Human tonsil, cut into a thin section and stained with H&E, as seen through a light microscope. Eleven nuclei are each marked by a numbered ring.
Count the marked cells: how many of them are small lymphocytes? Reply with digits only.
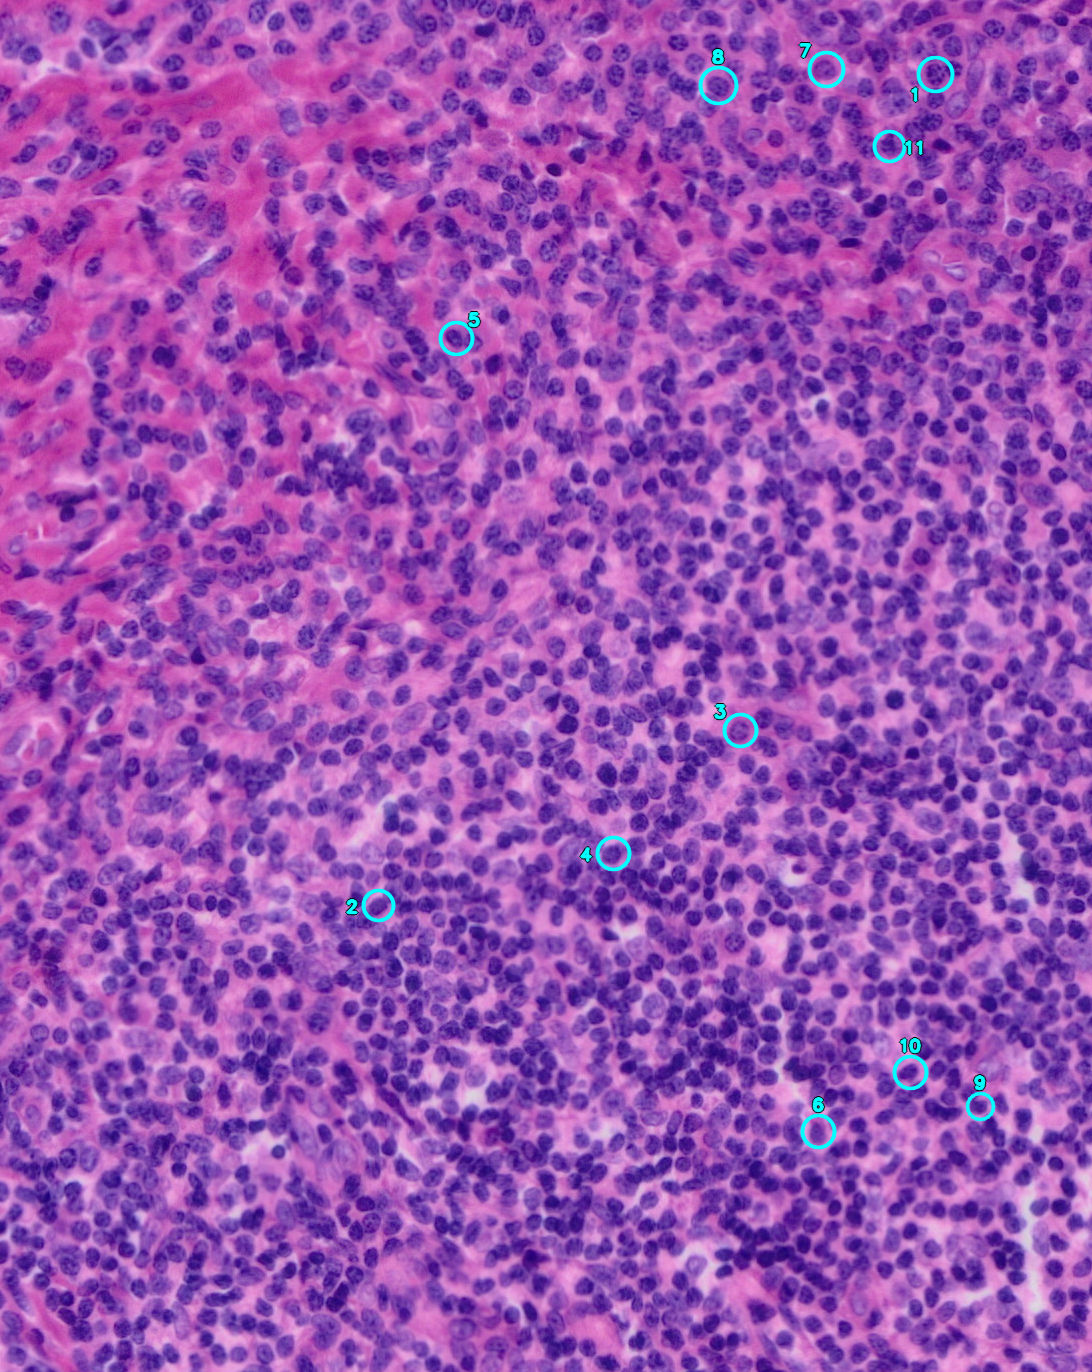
5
